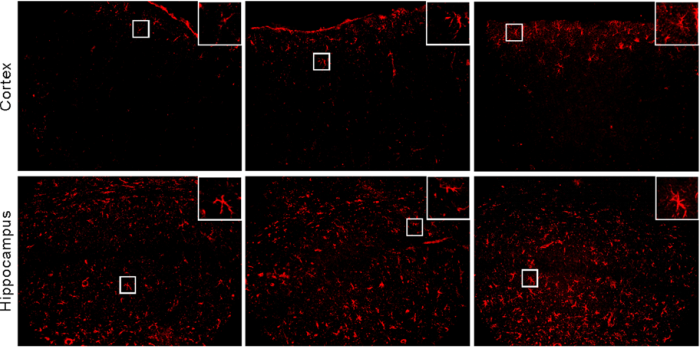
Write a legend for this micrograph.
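These are brain sections showing red, thin, branching cells spread across a dark field. In the upper images the red cells are few and cluster mostly along the top edge of the tissue, near the brain surface. In the third upper image a band of denser, brighter branching cells sits beneath that surface. In the lower images many more red cells fill the field, each a small centre sending out several fine, radiating processes. The enlarged insets show single cells with a star-like shape. Overall the red cells in the third column appear more numerous and more thickly branched.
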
